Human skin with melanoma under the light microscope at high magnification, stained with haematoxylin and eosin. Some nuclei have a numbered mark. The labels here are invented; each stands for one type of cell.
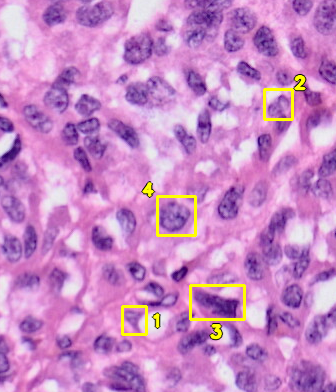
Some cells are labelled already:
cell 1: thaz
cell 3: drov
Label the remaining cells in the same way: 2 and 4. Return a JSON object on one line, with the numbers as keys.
{"2": "drov", "4": "drov"}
